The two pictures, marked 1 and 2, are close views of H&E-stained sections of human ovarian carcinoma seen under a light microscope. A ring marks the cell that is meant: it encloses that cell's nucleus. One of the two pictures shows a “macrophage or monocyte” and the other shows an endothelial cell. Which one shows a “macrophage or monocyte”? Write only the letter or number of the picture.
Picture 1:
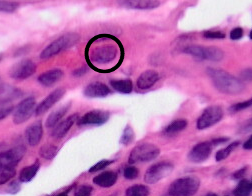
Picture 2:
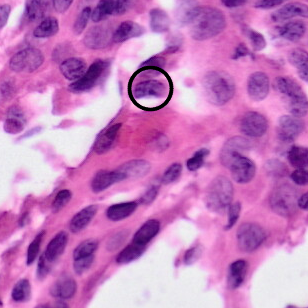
2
